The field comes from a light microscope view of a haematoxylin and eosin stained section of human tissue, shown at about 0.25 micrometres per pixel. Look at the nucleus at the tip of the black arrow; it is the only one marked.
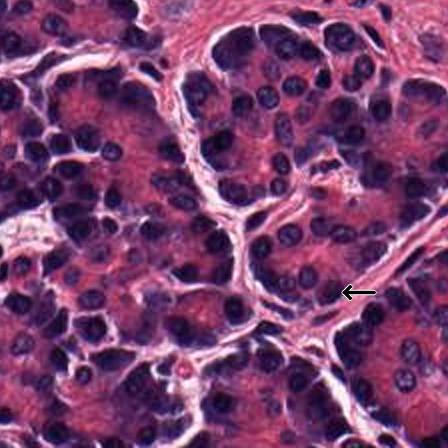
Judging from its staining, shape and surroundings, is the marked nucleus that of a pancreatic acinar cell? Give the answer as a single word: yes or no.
yes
